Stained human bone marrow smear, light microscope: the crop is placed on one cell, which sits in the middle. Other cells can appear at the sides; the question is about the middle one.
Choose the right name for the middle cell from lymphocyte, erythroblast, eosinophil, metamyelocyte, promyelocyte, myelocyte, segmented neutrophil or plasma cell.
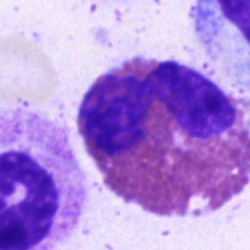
eosinophil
